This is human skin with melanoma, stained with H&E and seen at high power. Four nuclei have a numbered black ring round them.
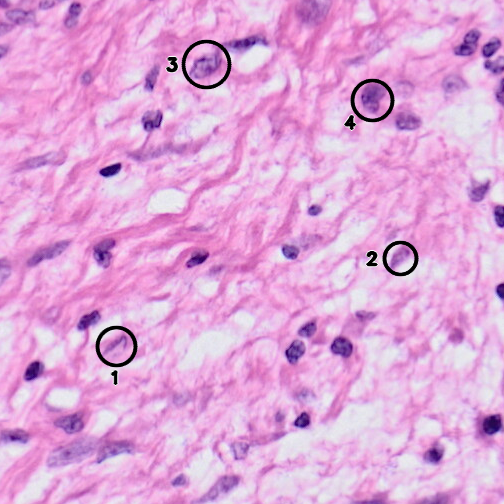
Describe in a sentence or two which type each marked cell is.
Cell 1 is a fibroblast or myofibroblast, cell 2 is a fibroblast or myofibroblast, cell 3 is a fibroblast or myofibroblast and cell 4 is a macrophage or monocyte.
